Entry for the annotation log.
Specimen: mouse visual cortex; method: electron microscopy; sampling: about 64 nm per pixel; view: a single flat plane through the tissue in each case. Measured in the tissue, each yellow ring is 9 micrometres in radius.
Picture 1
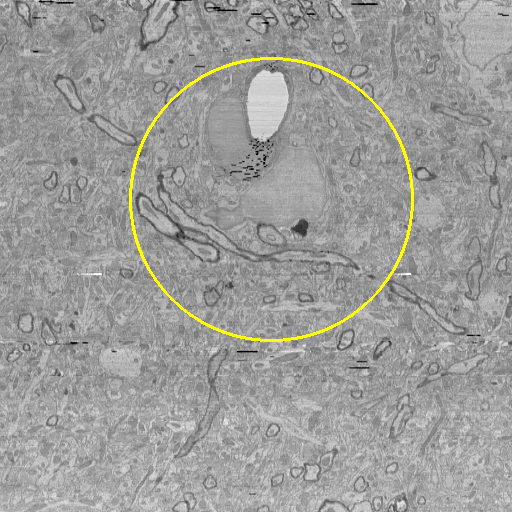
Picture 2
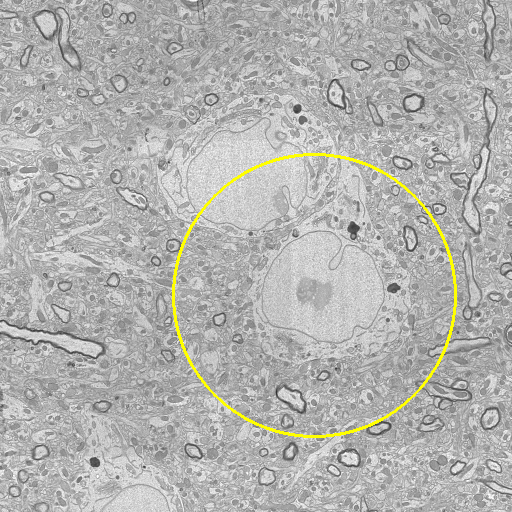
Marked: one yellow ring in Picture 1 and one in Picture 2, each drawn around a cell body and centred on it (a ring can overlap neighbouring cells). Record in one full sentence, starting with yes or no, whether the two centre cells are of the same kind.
No, the two cells are of two kinds.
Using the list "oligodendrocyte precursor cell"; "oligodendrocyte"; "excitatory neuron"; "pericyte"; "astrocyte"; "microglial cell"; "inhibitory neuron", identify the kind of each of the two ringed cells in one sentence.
The first is a microglial cell and the second is an excitatory neuron.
